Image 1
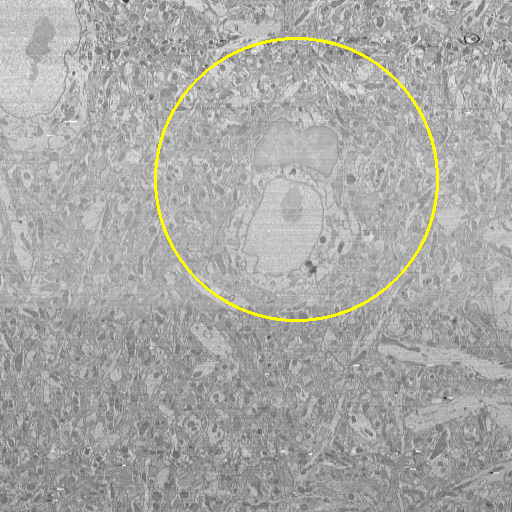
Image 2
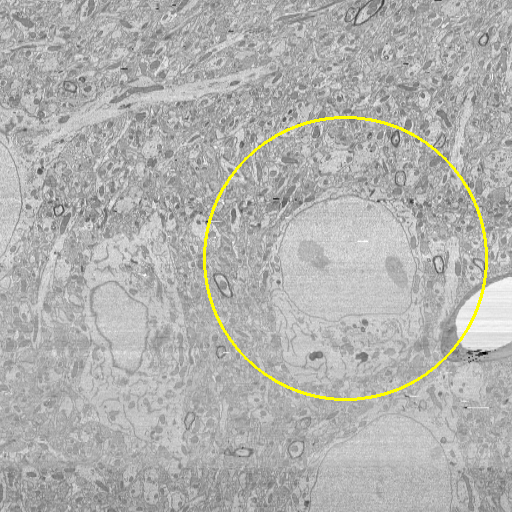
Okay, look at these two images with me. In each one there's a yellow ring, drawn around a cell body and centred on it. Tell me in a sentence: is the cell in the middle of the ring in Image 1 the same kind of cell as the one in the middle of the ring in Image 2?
No, they're two kinds of cell.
